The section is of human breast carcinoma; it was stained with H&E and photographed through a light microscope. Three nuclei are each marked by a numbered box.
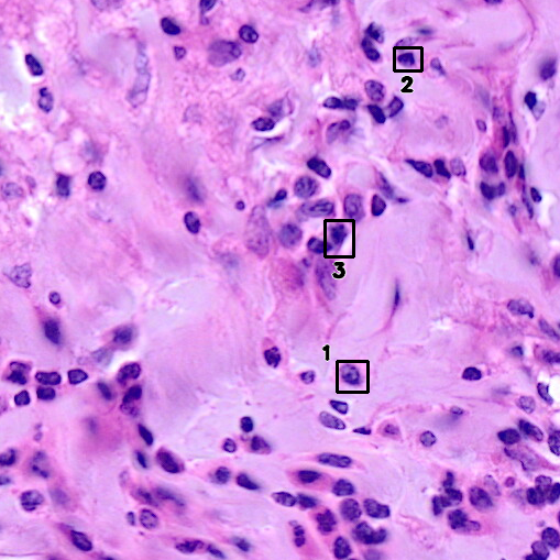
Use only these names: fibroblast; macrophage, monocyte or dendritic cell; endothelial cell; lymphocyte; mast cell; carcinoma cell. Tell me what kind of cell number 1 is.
mast cell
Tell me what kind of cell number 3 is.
lymphocyte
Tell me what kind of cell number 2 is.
lymphocyte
